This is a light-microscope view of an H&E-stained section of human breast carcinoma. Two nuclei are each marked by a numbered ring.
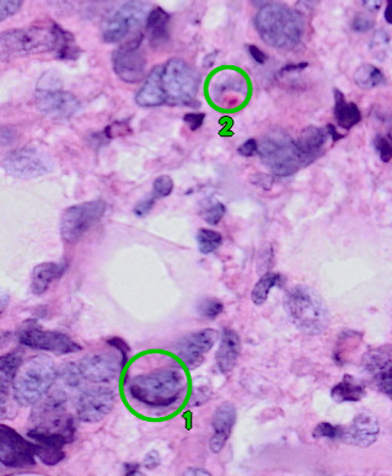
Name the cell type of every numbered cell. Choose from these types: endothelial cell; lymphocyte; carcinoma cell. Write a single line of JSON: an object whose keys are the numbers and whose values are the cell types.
{"1": "carcinoma cell", "2": "endothelial cell"}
